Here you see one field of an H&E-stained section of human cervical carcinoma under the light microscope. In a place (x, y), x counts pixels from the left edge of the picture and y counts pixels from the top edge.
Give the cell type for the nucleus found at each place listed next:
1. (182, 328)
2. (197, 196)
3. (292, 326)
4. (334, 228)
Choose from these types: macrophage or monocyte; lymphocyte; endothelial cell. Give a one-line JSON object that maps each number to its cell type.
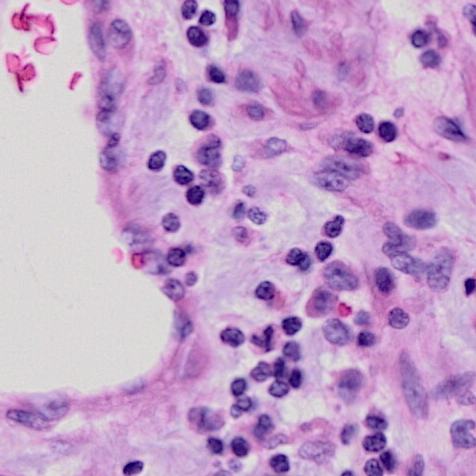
{"1": "endothelial cell", "2": "lymphocyte", "3": "lymphocyte", "4": "lymphocyte"}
